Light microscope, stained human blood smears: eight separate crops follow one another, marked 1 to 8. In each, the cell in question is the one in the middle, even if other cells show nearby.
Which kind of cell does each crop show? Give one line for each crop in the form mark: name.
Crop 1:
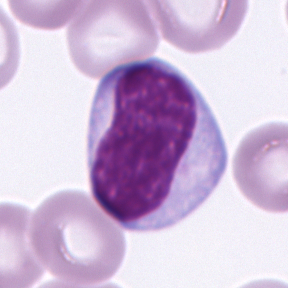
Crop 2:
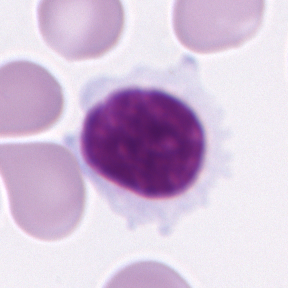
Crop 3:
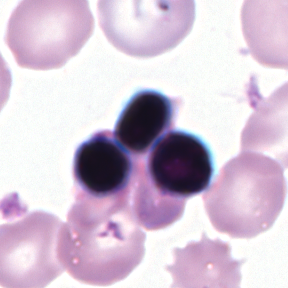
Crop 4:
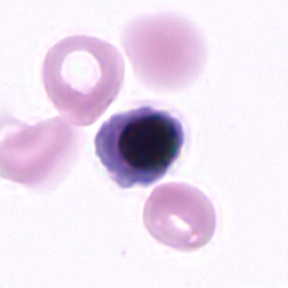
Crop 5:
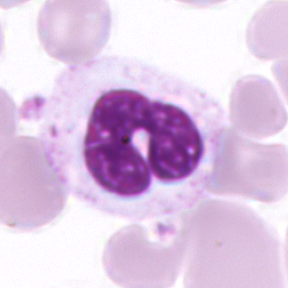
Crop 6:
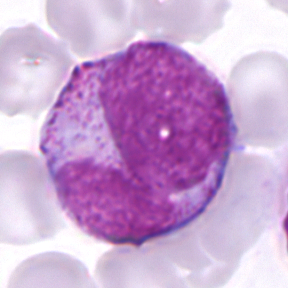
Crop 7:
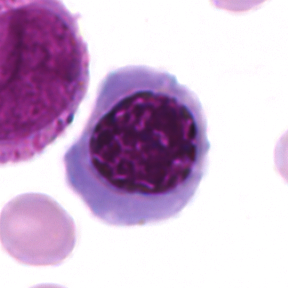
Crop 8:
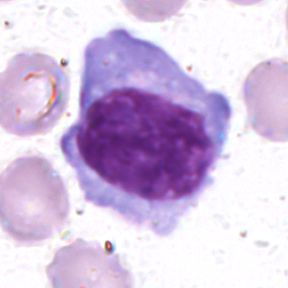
1: typical lymphocyte
2: hairy cell
3: erythroblast
4: erythroblast
5: band neutrophil
6: promyelocyte
7: erythroblast
8: plasma cell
